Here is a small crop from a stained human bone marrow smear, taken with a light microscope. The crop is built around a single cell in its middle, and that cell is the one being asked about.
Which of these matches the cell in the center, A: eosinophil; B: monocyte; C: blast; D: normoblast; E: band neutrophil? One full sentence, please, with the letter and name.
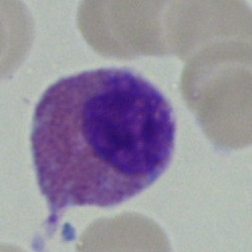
The cell in the middle is correctly identified as an eosinophil in option A.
